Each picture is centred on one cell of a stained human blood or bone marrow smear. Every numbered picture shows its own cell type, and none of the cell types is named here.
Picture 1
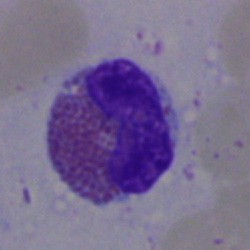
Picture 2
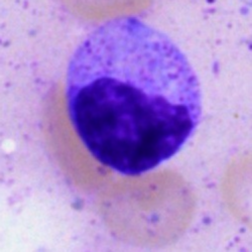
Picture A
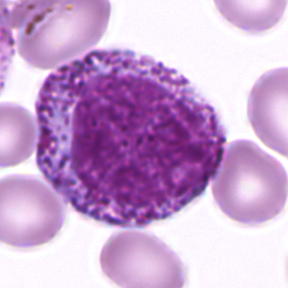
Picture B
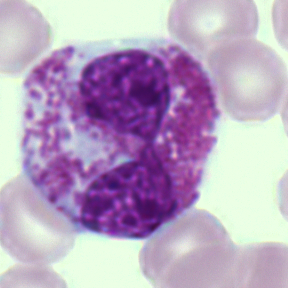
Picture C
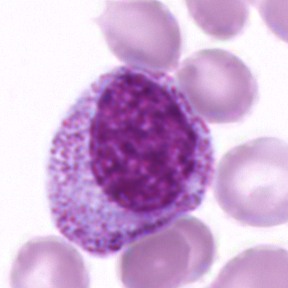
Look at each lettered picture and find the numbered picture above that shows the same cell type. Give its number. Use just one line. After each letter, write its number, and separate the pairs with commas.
A 2, B 1, C 2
